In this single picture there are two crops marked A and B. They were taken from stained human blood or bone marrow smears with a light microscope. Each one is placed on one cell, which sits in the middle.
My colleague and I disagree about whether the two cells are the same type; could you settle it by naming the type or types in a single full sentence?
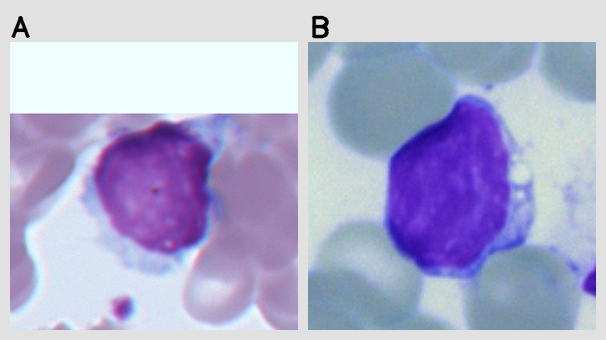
Yes, put down lymphocytes for both crops.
